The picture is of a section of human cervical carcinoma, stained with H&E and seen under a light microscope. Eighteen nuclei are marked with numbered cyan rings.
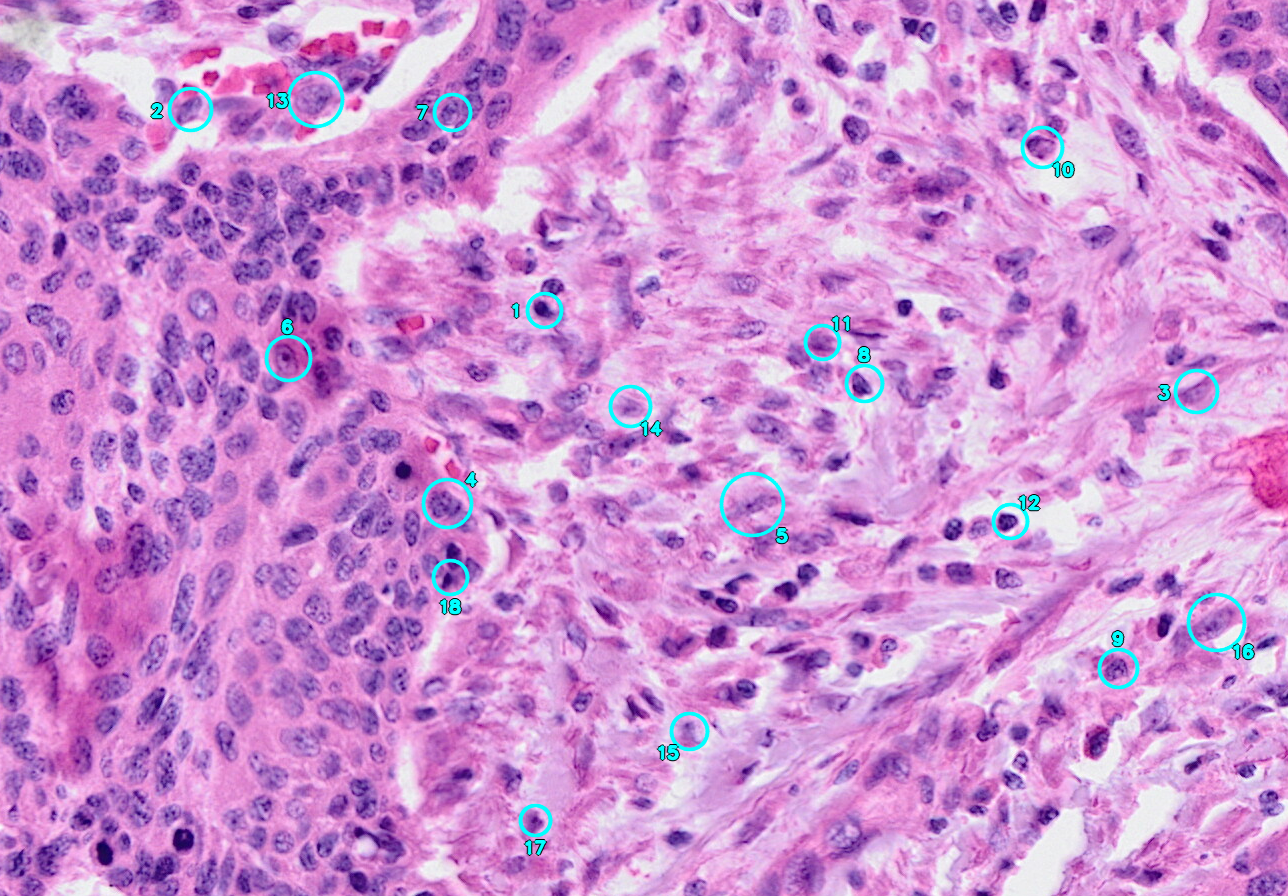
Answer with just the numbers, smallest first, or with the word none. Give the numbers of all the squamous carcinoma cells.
4, 6, 7, 18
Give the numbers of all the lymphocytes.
1, 8, 12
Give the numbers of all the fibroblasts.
3, 5, 11, 14, 15, 17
